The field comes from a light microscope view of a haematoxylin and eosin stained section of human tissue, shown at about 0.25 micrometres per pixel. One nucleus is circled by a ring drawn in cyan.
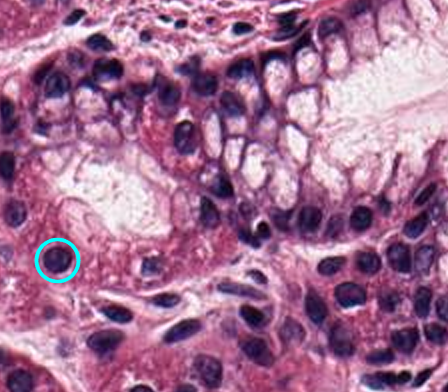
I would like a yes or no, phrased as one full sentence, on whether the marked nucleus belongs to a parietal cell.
Yes, the marked nucleus is one belonging to a parietal cell.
